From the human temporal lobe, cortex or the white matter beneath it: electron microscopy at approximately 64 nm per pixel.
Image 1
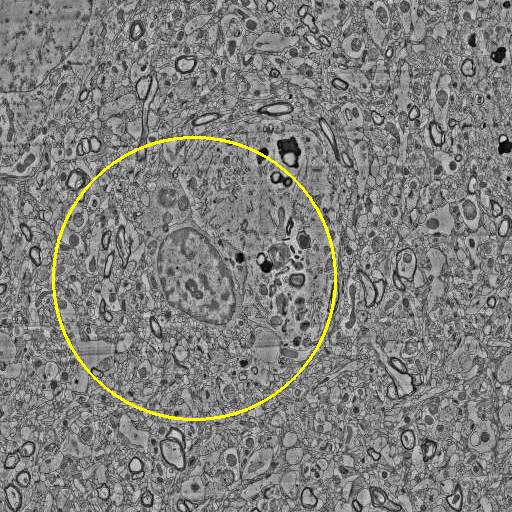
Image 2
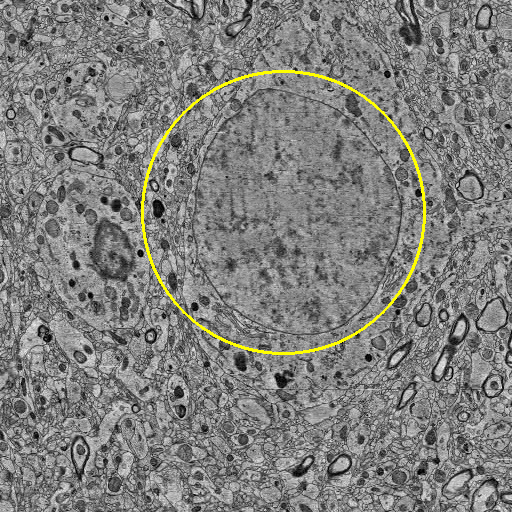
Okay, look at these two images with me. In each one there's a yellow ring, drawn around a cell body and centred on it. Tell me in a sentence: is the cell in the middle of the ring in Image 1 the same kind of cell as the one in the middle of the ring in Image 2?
No, they're two kinds of cell.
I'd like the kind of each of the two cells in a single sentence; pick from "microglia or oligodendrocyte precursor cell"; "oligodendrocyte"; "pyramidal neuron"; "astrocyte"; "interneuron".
The first ring marks an oligodendrocyte, and the second ring marks a pyramidal neuron.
